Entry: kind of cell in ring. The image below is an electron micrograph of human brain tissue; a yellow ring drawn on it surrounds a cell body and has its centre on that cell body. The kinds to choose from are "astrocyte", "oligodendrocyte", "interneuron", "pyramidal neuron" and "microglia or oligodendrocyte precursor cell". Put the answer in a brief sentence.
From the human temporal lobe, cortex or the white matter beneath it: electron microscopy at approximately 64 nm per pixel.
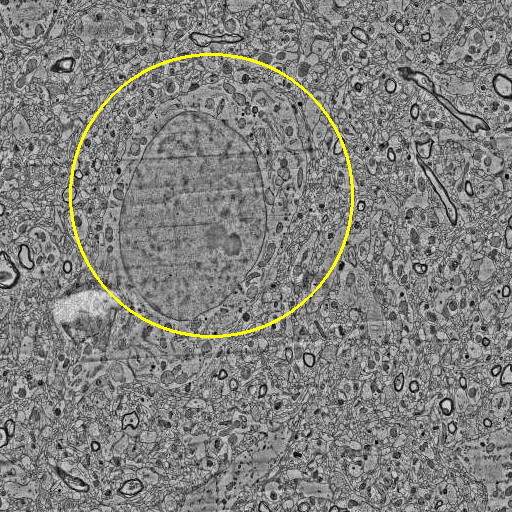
The ring has been drawn around an interneuron.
